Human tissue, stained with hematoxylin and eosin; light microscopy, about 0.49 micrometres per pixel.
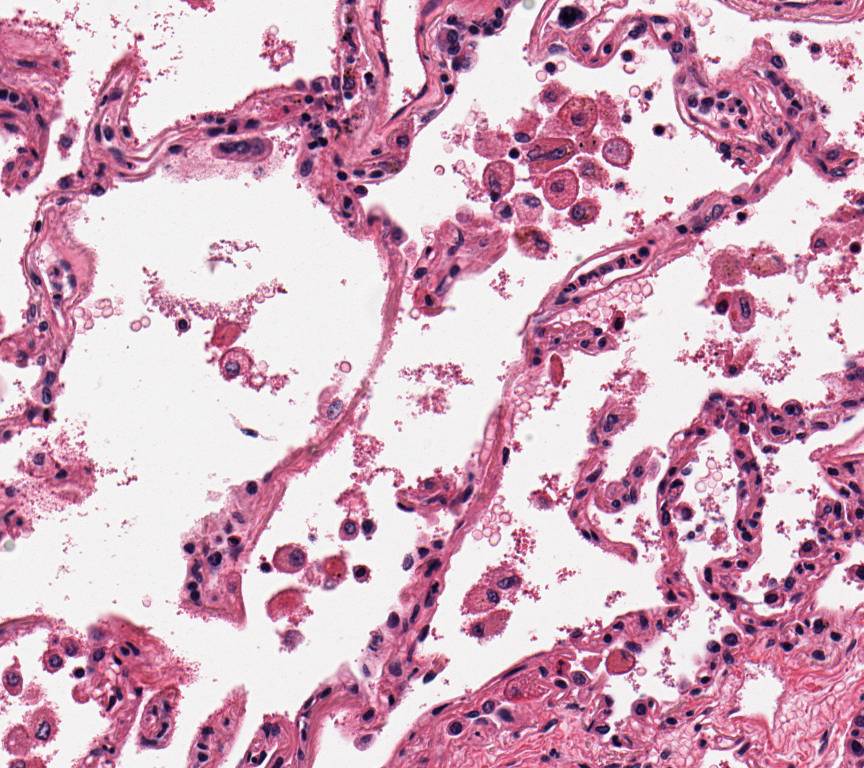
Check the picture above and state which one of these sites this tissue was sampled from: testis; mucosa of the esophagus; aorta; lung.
lung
